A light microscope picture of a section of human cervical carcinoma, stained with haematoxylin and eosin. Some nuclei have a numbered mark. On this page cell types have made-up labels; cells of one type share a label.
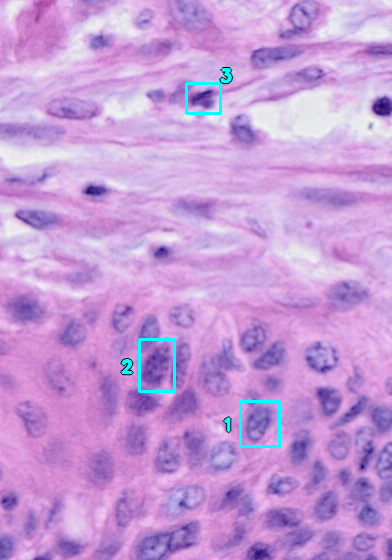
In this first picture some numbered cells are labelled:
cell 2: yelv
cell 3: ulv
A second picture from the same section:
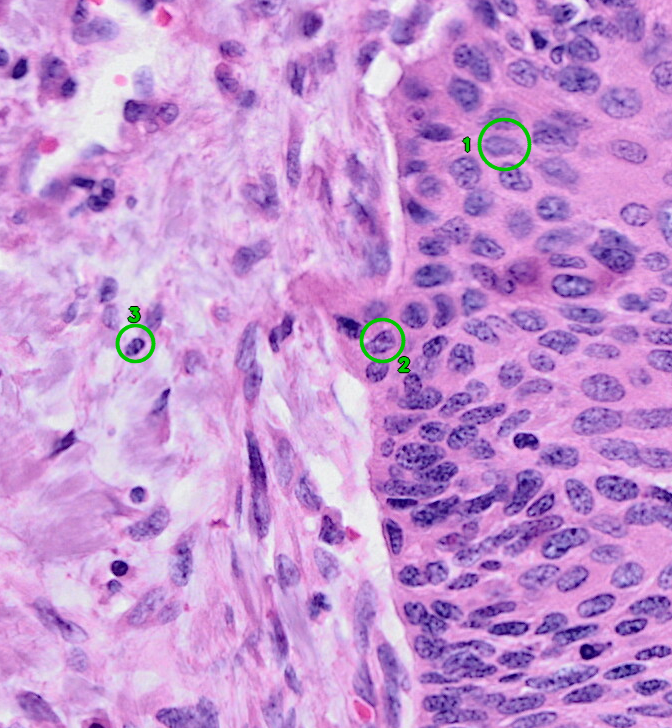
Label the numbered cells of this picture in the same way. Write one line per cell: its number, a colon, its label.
1: yelv
2: yelv
3: ulv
